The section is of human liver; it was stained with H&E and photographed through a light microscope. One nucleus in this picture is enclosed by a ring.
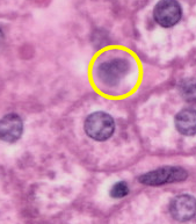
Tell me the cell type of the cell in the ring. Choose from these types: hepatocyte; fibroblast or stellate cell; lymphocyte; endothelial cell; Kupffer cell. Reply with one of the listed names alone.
endothelial cell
